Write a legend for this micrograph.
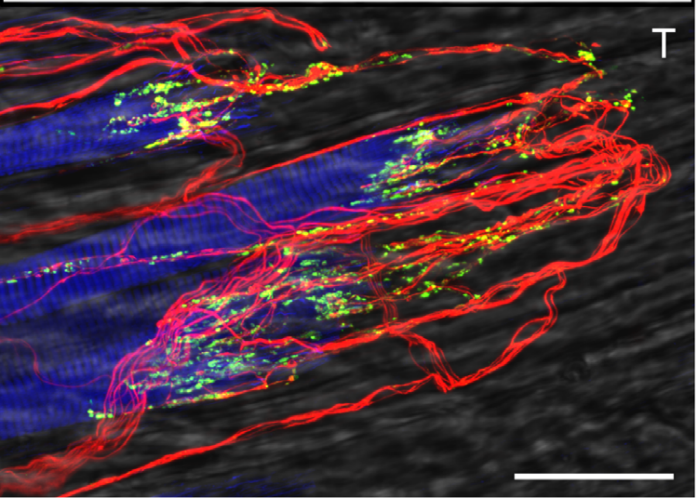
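This shows the ends of several skeletal muscle fibers where they meet the tendon, with nerve fibers forming palisade endings around the fiber tips. The muscle fibers are blue, cross-striated and run from the left, tapering to their tips in the middle of the field, while the gray fibrous tendon extends to the right. Bundles of red nerve fibers run alongside the muscle fibers, pass beyond their tips into the tendon and there loop back in U-shaped turns toward the fiber ends. Branching red fibers spread over each muscle fiber tip, and small green puncta are scattered along them, concentrated over the tips and in the adjacent tendon.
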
